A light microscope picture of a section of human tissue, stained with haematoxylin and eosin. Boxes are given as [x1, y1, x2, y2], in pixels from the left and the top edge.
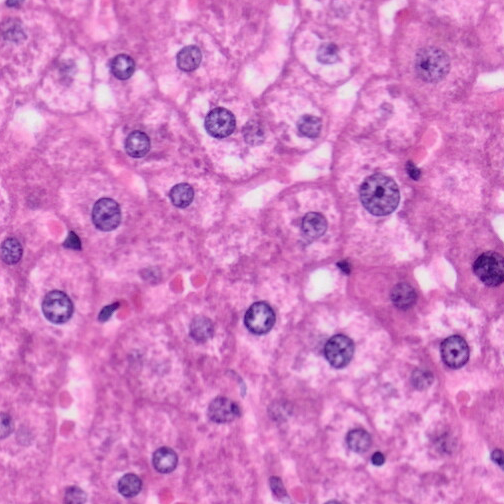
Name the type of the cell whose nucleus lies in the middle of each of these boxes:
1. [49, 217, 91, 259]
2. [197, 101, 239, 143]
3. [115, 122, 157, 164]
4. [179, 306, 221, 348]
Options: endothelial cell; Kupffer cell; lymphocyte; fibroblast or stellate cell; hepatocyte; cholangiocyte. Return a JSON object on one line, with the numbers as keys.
{"1": "fibroblast or stellate cell", "2": "hepatocyte", "3": "hepatocyte", "4": "hepatocyte"}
